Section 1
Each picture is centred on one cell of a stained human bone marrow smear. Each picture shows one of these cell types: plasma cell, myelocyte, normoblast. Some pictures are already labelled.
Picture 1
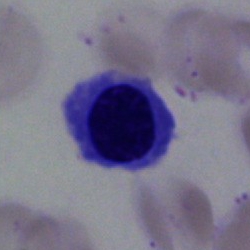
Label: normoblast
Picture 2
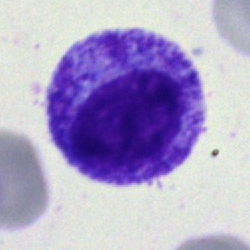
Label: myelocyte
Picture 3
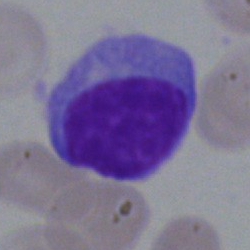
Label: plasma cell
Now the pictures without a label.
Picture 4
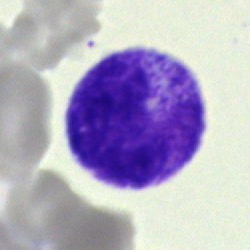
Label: myelocyte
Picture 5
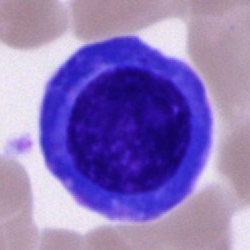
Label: plasma cell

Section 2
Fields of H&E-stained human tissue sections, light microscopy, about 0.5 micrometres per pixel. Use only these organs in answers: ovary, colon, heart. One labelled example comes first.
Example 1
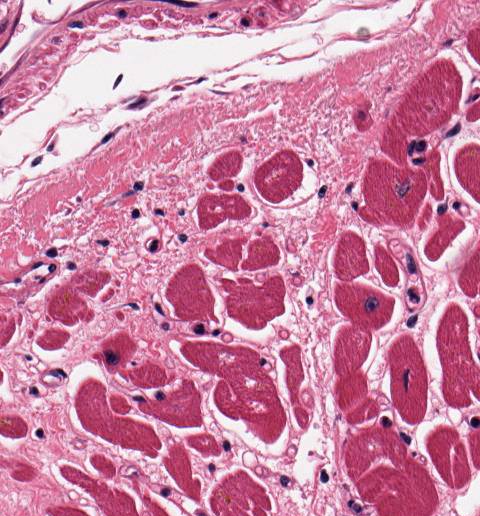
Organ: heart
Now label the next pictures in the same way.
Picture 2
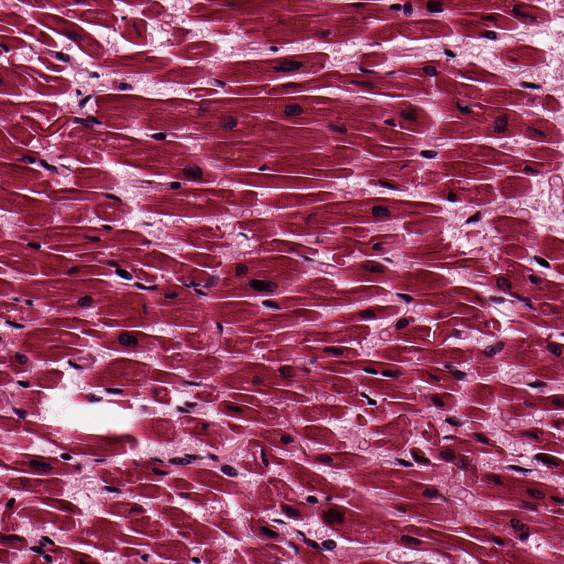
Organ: heart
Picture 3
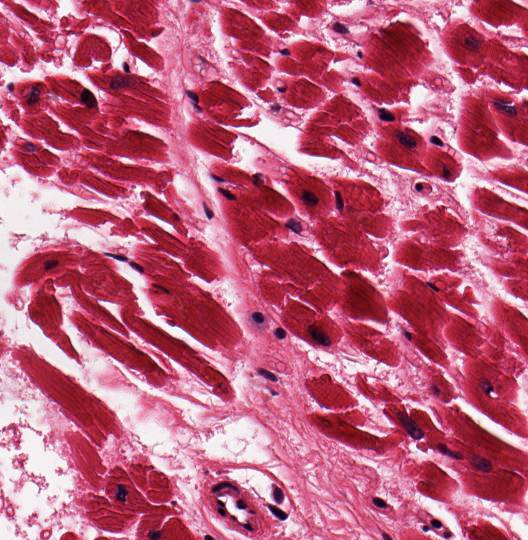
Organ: heart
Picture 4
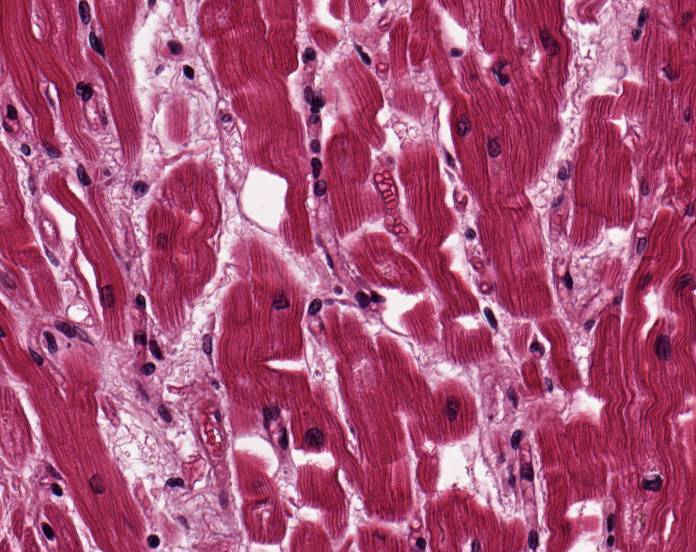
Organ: heart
